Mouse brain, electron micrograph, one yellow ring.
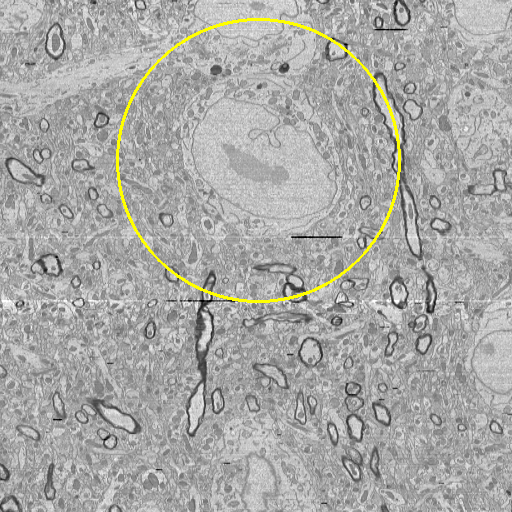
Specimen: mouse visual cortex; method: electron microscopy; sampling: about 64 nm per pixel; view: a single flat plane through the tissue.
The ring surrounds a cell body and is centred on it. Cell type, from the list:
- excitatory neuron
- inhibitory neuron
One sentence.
The yellow ring circles an inhibitory neuron.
